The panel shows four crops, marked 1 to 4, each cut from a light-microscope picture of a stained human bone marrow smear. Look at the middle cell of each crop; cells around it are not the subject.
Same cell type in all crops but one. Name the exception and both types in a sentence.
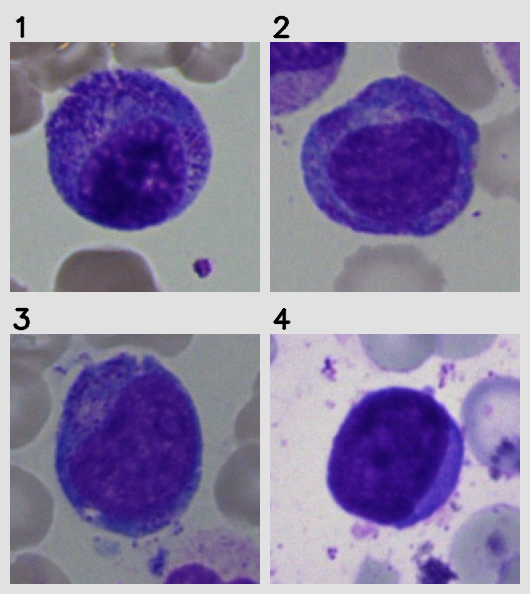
The rest of the crops show promyelocytes; crop 4 is the one showing a blast.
